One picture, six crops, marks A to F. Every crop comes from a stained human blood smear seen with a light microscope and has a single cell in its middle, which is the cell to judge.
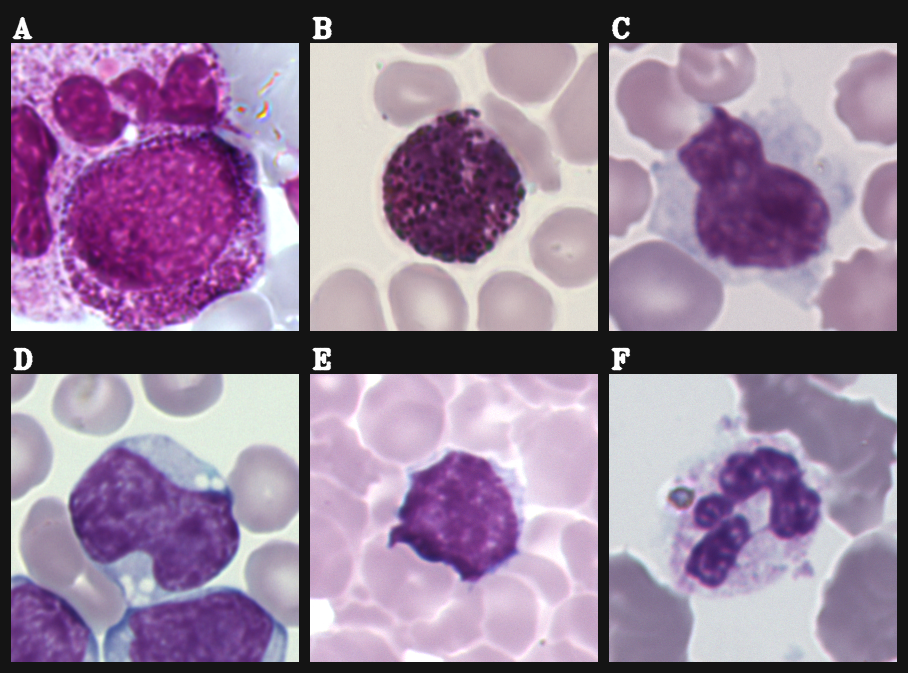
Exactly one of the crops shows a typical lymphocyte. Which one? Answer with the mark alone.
E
